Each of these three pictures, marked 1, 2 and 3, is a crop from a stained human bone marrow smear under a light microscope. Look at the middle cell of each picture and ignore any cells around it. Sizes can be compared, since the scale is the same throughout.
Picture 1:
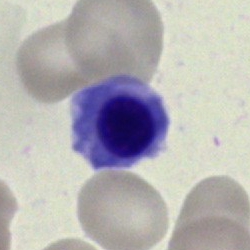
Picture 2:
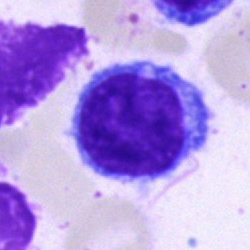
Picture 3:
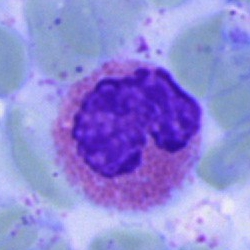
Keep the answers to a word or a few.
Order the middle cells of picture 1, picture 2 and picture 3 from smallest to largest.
1, 2, 3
